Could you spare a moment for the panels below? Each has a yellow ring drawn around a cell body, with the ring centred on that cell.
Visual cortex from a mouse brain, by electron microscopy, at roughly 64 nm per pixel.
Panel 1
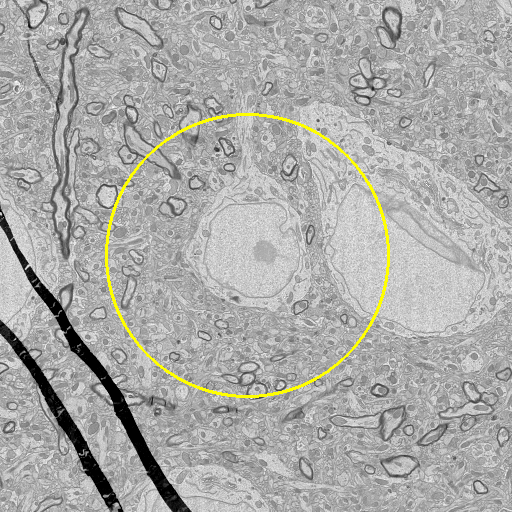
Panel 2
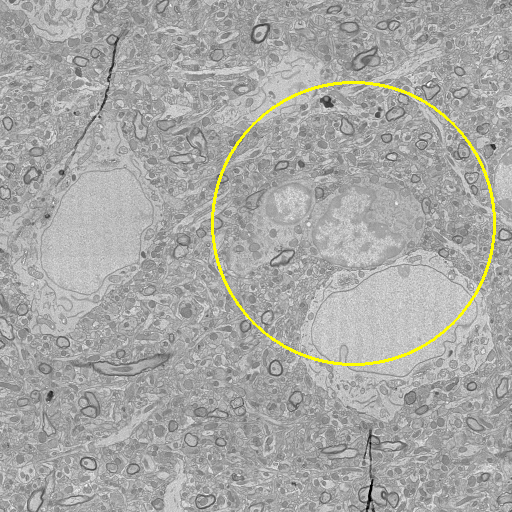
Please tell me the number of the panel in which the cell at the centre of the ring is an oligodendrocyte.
2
